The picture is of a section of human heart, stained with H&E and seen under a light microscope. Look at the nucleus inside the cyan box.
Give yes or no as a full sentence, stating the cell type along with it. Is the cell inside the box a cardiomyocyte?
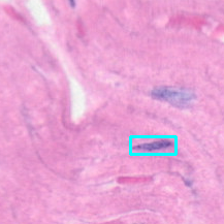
No, it is as an endothelial cell, not a cardiomyocyte, that the cell inside the box is classified.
